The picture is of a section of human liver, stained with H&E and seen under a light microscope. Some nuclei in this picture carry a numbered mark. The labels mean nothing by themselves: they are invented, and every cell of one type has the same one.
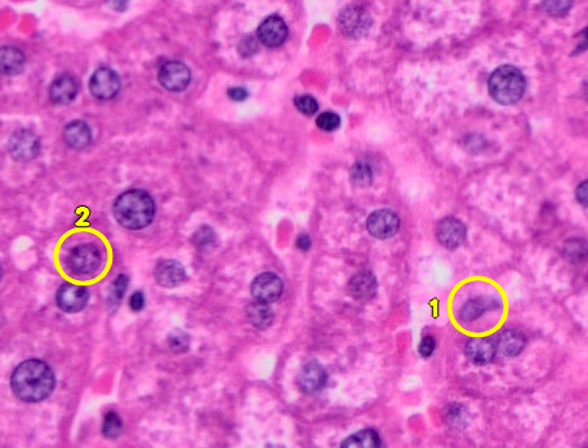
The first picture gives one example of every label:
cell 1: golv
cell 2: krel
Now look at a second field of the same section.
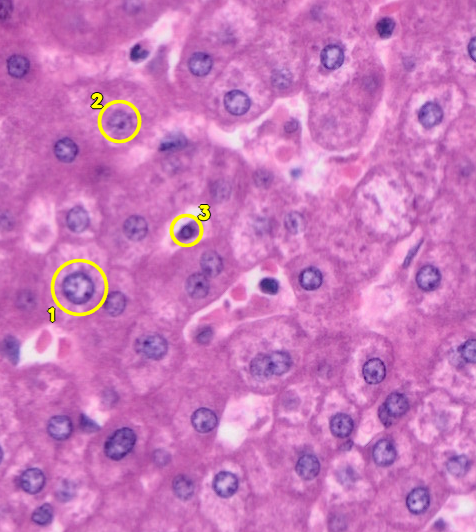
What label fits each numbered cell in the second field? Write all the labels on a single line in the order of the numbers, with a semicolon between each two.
krel; krel; golv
